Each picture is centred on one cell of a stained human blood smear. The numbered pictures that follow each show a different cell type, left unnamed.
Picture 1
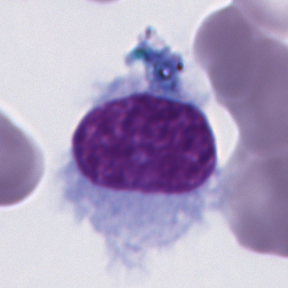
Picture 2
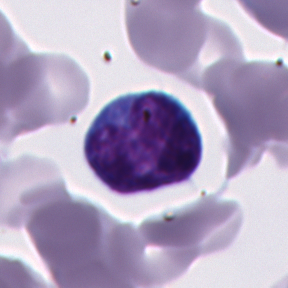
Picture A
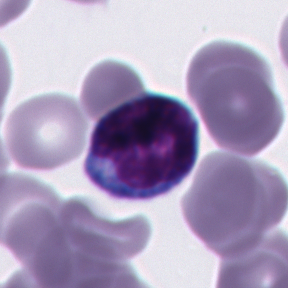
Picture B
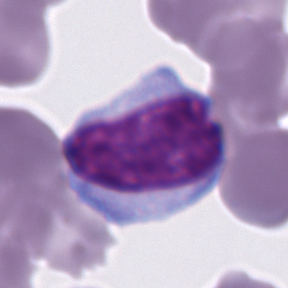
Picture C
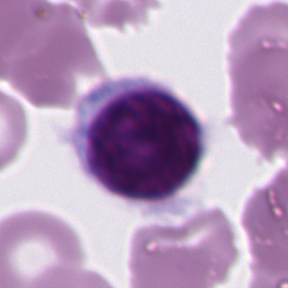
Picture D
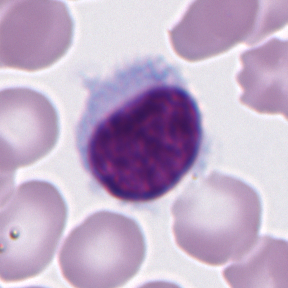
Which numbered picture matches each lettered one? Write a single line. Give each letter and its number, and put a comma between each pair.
A 2, B 2, C 1, D 1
